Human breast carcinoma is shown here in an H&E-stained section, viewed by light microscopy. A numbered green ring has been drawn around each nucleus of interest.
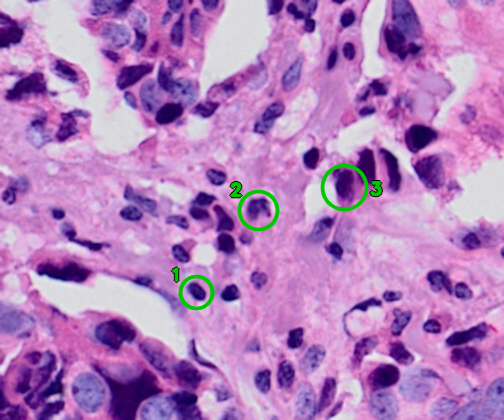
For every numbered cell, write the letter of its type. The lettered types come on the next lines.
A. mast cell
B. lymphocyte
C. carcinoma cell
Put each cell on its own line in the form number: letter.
1: B
2: B
3: C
